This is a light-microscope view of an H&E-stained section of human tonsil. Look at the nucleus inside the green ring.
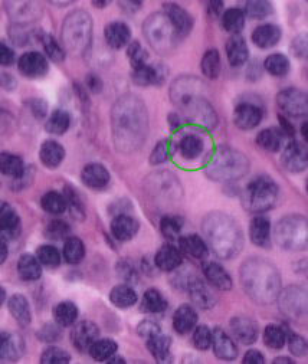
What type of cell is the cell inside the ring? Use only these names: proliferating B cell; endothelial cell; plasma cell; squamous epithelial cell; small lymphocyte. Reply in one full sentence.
The cell inside the ring is an endothelial cell.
